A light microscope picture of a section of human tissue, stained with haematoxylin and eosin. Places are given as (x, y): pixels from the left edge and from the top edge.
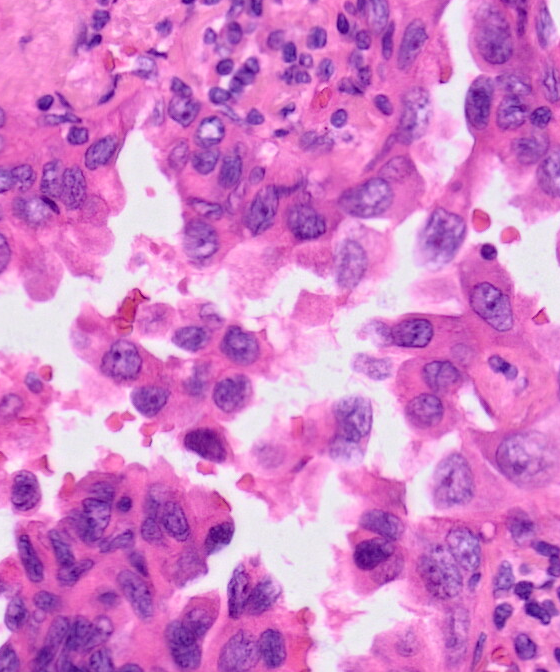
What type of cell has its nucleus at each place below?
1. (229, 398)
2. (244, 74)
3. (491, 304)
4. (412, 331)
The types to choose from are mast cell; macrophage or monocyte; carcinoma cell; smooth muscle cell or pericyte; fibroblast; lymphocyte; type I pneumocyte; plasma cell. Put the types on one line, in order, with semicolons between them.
carcinoma cell; lymphocyte; carcinoma cell; carcinoma cell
